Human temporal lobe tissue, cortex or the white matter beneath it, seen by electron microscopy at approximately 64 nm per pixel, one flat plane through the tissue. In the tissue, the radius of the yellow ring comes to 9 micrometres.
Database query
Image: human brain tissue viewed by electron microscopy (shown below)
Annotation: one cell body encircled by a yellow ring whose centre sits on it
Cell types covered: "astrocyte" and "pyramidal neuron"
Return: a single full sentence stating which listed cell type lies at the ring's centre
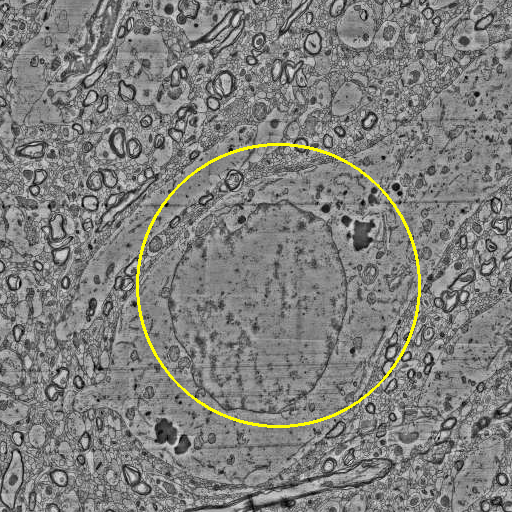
In the image, the cell lying at the ring's centre is a pyramidal neuron.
